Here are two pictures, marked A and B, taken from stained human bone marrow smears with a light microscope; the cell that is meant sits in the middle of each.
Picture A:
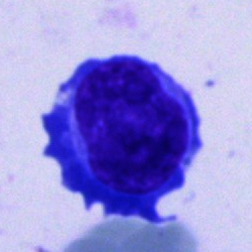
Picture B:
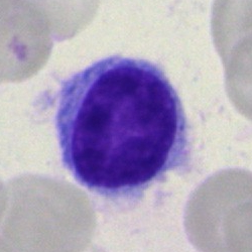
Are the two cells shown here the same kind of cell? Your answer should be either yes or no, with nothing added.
no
